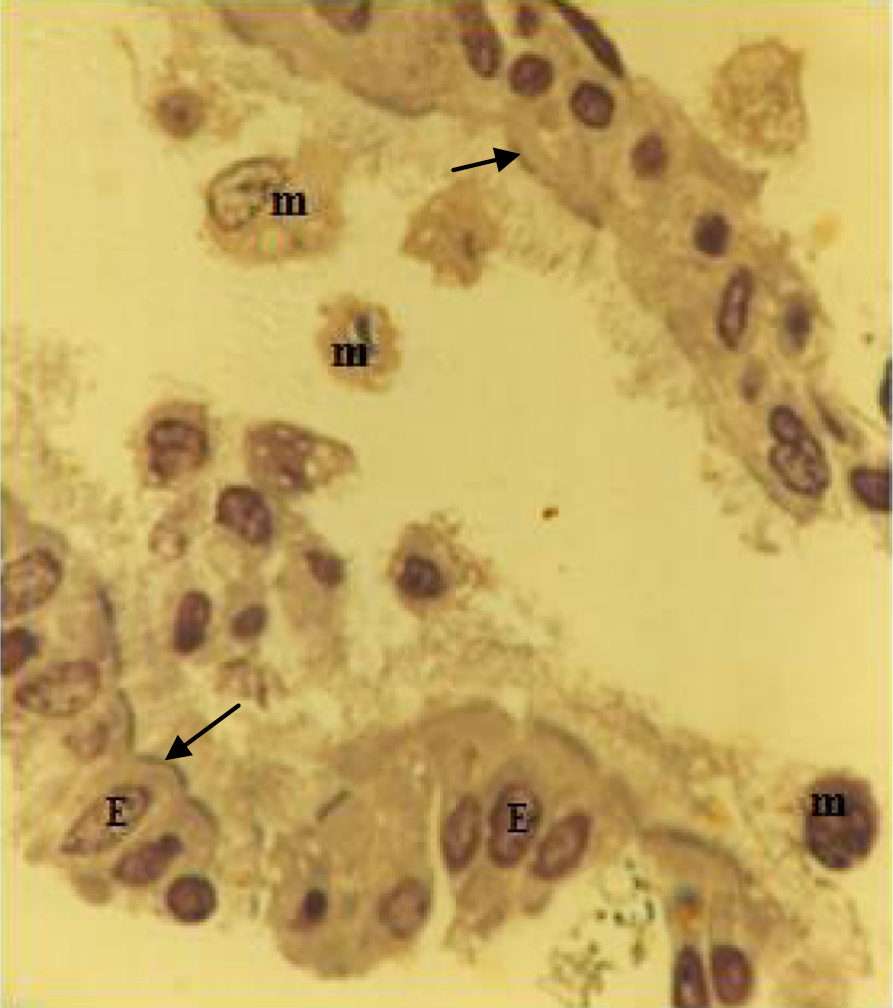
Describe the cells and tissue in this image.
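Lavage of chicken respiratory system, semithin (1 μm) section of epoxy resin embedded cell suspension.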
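The epithelial cells lie side by side in sheets, are tall to columnar, and have dark, oval nuclei, some of them elongated. Along the free border of these sheets runs a pale fringe of fine, hair-like cilia. In the open space between the sheets lie single rounded cells with a rim of granular, somewhat frothy cytoplasm around a dark nucleus. These free cells are not attached to the sheets and are scattered loosely in the space.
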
